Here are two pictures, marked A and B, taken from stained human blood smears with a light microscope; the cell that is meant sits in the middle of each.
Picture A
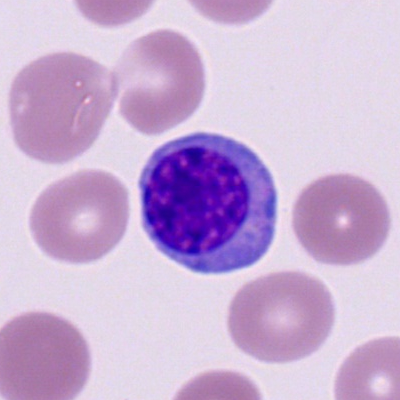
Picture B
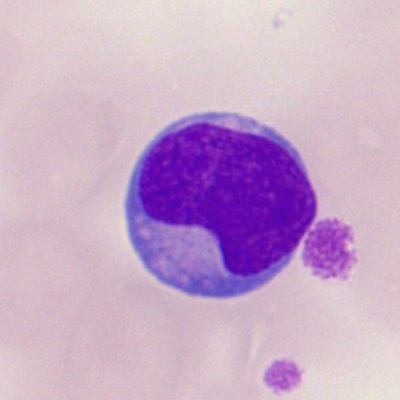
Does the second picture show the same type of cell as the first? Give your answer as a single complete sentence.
No, the types are not the same, since picture A shows a lymphocyte and picture B a myeloblast.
